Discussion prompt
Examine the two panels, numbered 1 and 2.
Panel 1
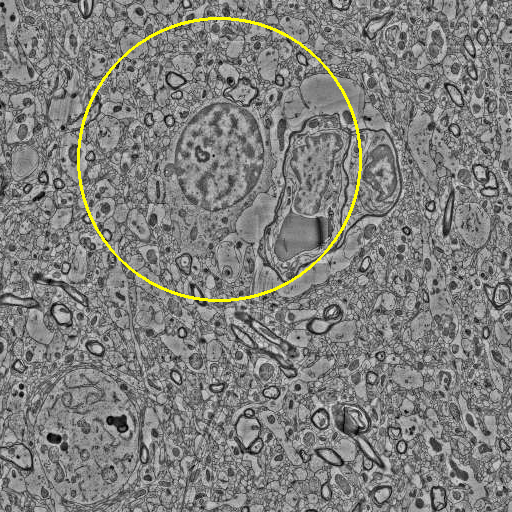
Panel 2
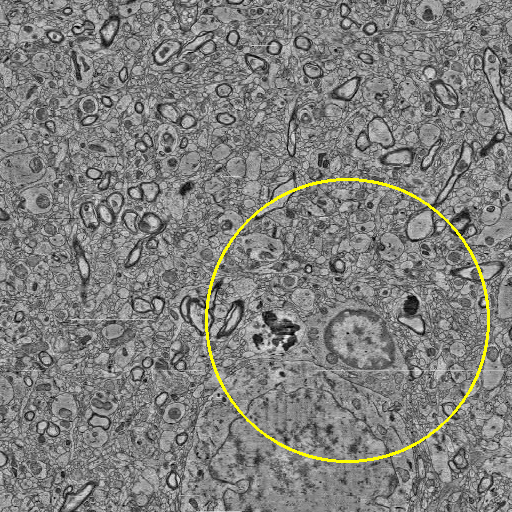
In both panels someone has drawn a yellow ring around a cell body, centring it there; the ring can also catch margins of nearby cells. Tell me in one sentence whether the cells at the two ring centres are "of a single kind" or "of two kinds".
Taken together, the two cells centred in the rings of Panels 1 and 2 are of a single kind.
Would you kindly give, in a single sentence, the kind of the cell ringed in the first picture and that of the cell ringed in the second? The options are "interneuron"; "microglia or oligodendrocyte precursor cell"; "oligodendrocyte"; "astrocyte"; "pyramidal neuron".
In each of the two pictures, the ringed cell is an oligodendrocyte.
